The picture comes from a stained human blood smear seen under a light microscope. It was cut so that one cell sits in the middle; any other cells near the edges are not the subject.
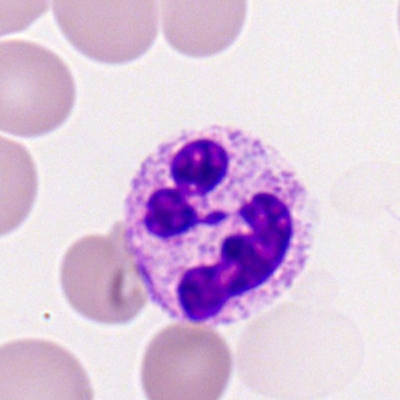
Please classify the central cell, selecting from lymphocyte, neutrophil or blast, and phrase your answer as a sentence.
The cell occupying the middle of the crop is a neutrophil.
